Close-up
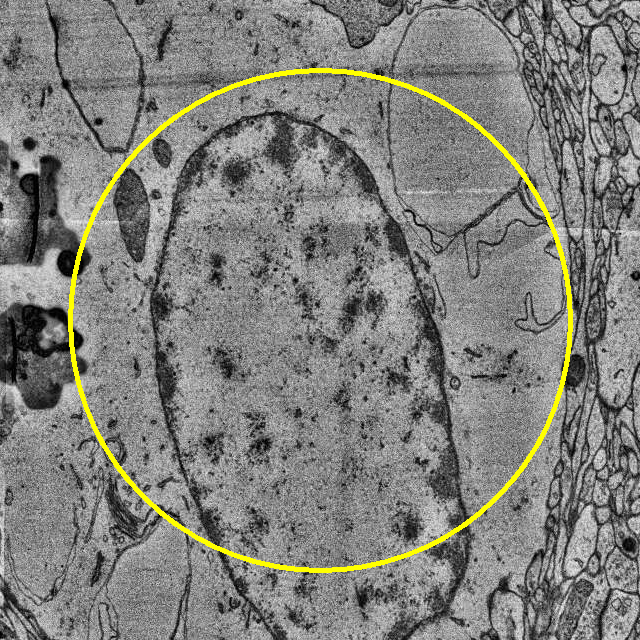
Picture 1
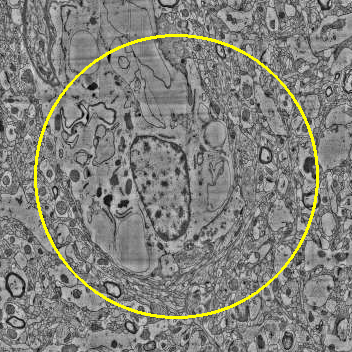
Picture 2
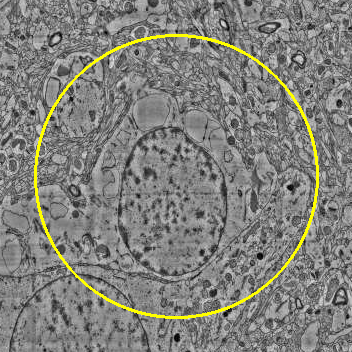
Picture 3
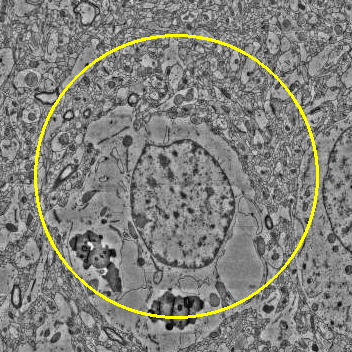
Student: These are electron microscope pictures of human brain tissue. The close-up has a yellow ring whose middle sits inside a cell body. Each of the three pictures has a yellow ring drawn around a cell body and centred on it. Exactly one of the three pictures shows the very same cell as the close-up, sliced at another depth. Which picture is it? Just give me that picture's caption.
Picture 1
